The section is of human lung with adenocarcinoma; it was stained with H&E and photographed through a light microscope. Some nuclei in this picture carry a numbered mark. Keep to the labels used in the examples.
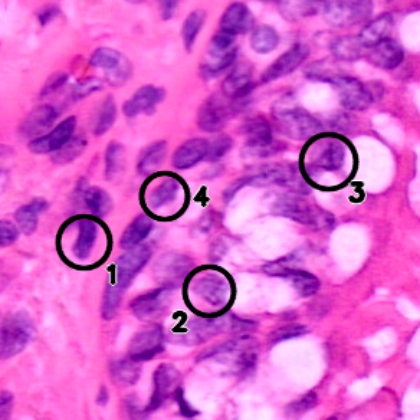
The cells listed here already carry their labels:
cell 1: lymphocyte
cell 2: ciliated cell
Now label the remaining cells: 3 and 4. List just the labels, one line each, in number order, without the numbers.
ciliated cell
ciliated cell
